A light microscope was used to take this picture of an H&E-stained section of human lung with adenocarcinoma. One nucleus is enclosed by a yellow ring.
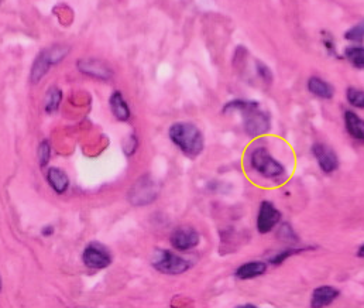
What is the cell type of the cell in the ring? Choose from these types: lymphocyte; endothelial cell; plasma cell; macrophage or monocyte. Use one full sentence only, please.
Assigned to a cell type, the cell in the ring is a plasma cell.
